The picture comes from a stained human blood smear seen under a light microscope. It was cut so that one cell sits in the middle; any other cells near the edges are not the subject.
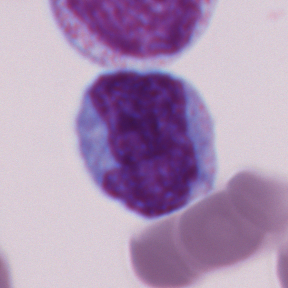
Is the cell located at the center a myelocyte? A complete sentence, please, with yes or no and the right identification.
No, the middle of this crop is occupied by a monocyte rather than a myelocyte.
